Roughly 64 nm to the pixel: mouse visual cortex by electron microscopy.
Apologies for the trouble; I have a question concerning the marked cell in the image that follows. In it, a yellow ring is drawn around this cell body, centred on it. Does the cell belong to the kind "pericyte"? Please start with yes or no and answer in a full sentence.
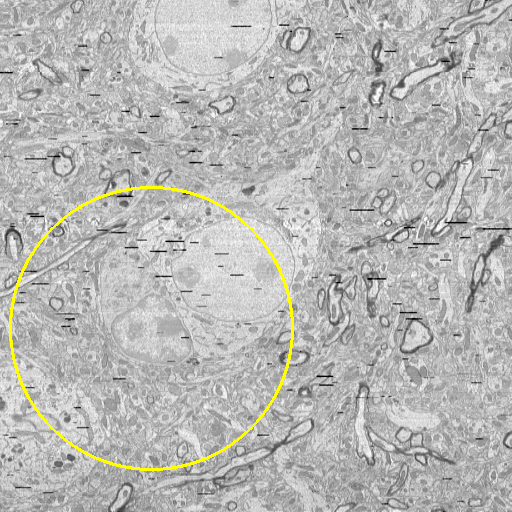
No, the ringed cell in the picture is of a different kind.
